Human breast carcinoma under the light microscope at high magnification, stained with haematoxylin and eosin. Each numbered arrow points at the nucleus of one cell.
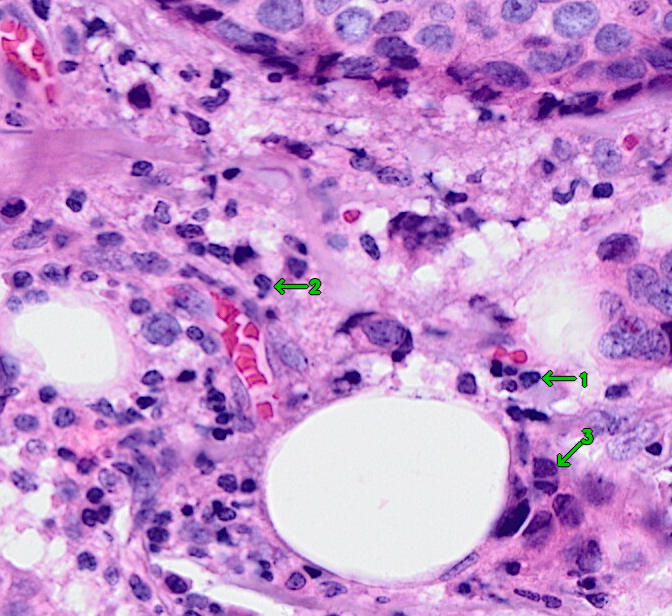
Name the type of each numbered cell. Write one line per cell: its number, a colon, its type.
1: lymphocyte
2: lymphocyte
3: carcinoma cell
